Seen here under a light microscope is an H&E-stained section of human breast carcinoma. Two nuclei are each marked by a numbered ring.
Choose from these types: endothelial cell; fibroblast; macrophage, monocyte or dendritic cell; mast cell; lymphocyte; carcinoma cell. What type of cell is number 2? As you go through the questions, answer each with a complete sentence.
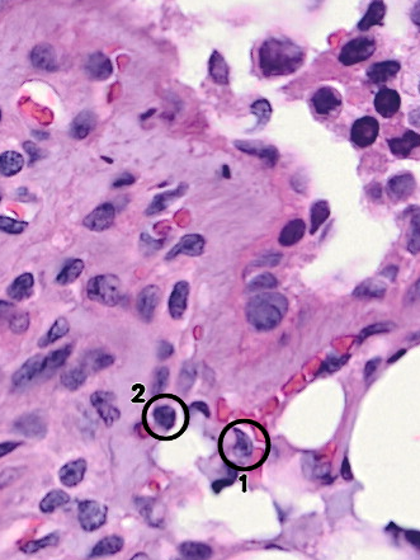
The cell carrying label 2 is identified as a lymphocyte.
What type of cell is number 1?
Identified by the number 1, the cell is an endothelial cell.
